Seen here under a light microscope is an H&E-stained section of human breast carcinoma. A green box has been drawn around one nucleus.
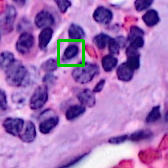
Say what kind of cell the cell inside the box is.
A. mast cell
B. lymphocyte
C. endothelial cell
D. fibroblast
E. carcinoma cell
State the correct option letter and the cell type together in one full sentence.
Hey, it is option B: the cell inside the box is a lymphocyte.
